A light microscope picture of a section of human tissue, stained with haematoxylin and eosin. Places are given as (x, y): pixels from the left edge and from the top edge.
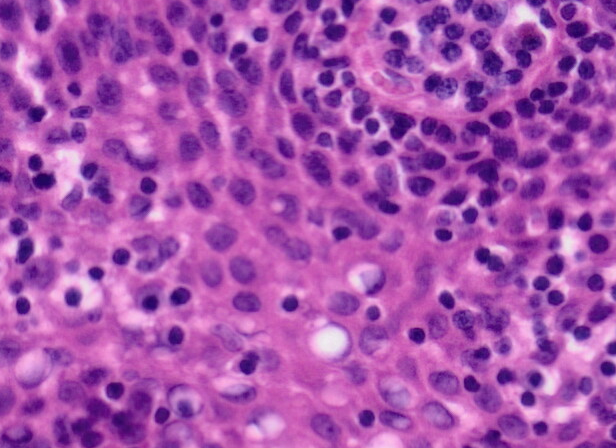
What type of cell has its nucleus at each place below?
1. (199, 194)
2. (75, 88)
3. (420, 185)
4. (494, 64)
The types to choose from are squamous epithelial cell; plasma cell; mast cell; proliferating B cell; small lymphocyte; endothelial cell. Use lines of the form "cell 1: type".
cell 1: squamous epithelial cell
cell 2: squamous epithelial cell
cell 3: squamous epithelial cell
cell 4: plasma cell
